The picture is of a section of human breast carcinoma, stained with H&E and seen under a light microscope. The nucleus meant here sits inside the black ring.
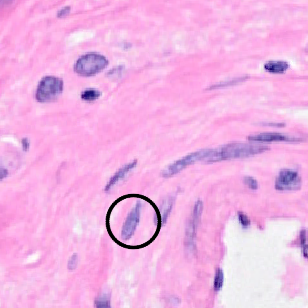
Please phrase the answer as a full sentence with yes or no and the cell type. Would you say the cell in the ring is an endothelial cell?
Yes, identifying the cell in the ring as an endothelial cell is right.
